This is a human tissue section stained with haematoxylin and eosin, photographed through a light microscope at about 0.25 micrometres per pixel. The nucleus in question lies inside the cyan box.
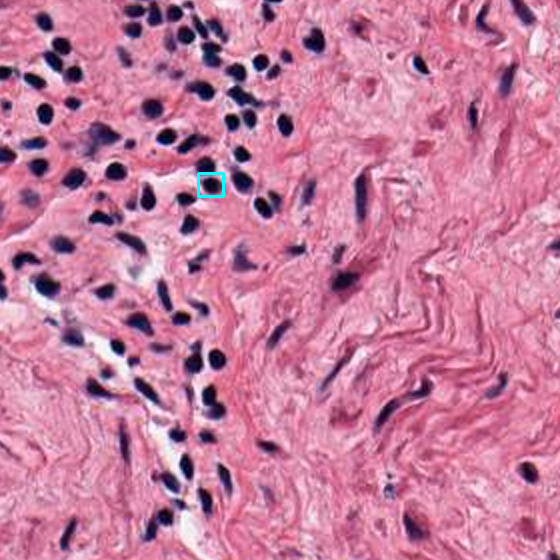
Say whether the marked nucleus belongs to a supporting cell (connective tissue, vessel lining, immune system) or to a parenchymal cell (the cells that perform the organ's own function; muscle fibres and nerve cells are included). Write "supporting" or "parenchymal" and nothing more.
supporting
